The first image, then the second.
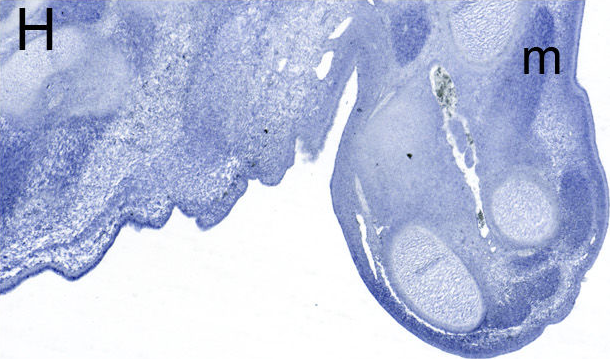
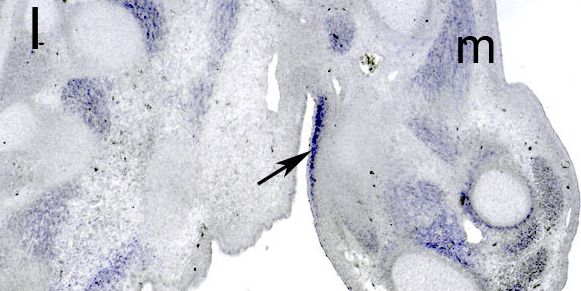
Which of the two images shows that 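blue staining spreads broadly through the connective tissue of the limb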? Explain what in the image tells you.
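The first image. Second image: most of the limb tissue is pale grey with blue only in restricted zones. First image: the whole limb section is tinted blue, with darker blue in the muscle regions.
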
